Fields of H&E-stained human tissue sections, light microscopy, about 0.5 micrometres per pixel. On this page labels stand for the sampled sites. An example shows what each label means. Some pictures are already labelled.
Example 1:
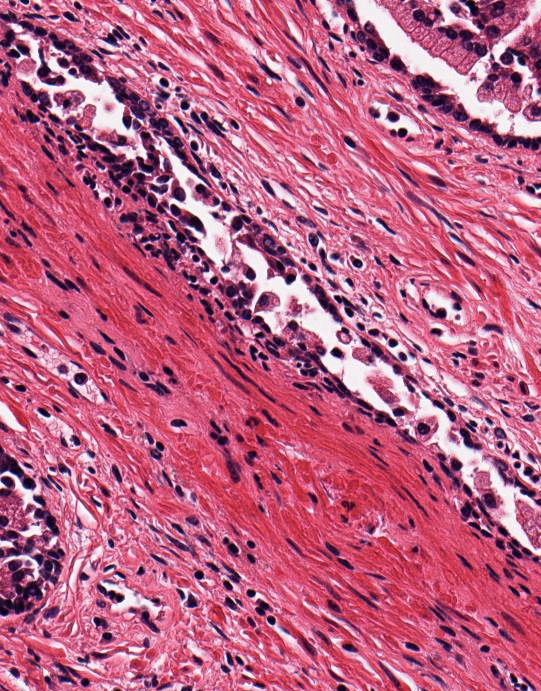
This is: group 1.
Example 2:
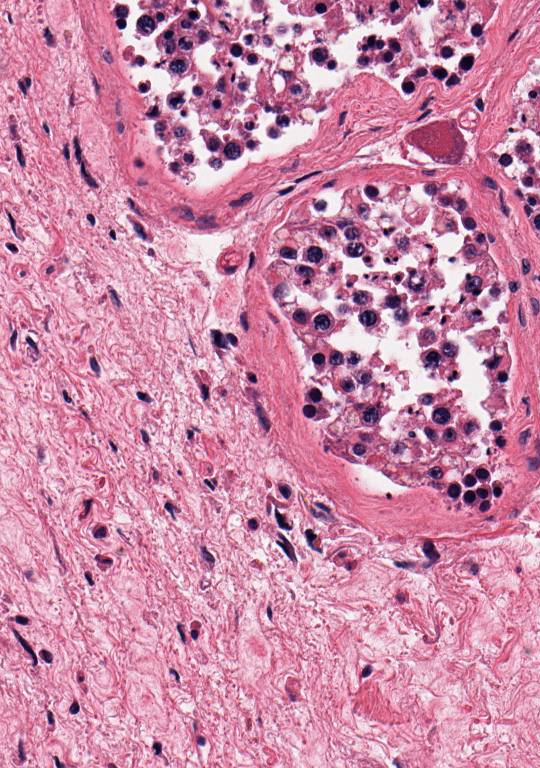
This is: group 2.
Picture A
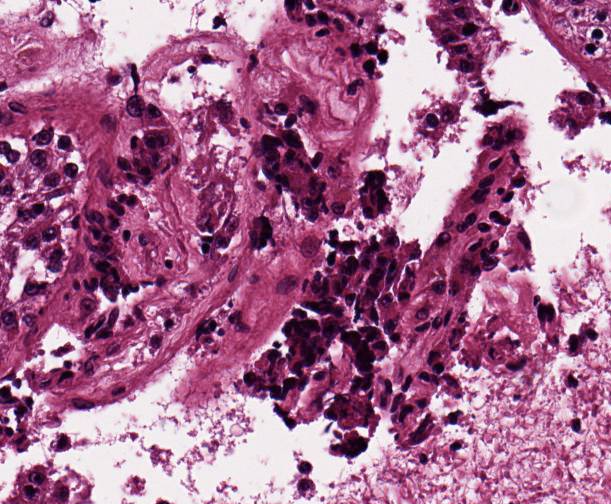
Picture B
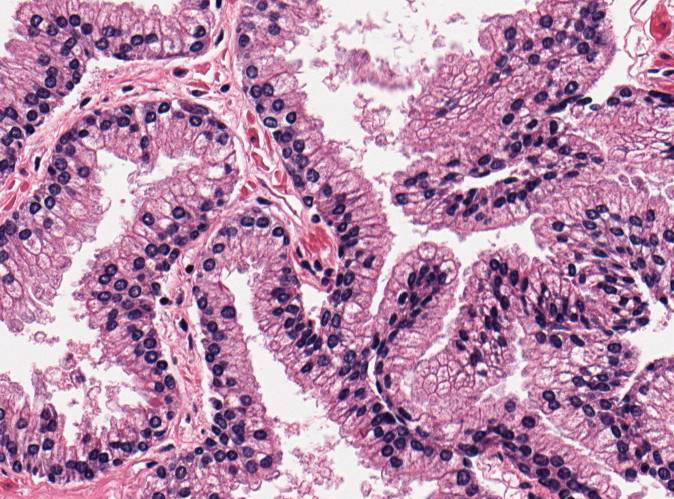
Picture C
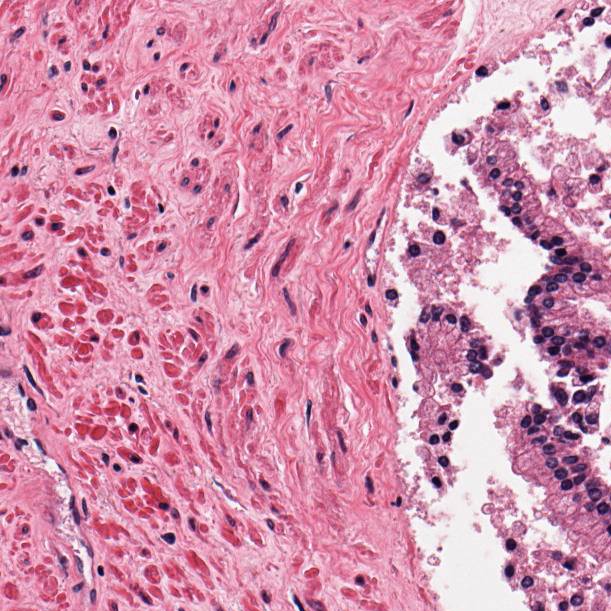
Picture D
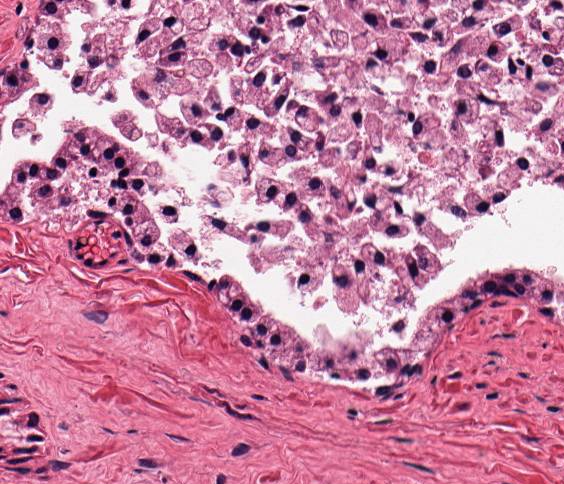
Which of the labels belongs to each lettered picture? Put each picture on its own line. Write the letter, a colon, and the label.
A: group 2.
B: group 1.
C: group 1.
D: group 1.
